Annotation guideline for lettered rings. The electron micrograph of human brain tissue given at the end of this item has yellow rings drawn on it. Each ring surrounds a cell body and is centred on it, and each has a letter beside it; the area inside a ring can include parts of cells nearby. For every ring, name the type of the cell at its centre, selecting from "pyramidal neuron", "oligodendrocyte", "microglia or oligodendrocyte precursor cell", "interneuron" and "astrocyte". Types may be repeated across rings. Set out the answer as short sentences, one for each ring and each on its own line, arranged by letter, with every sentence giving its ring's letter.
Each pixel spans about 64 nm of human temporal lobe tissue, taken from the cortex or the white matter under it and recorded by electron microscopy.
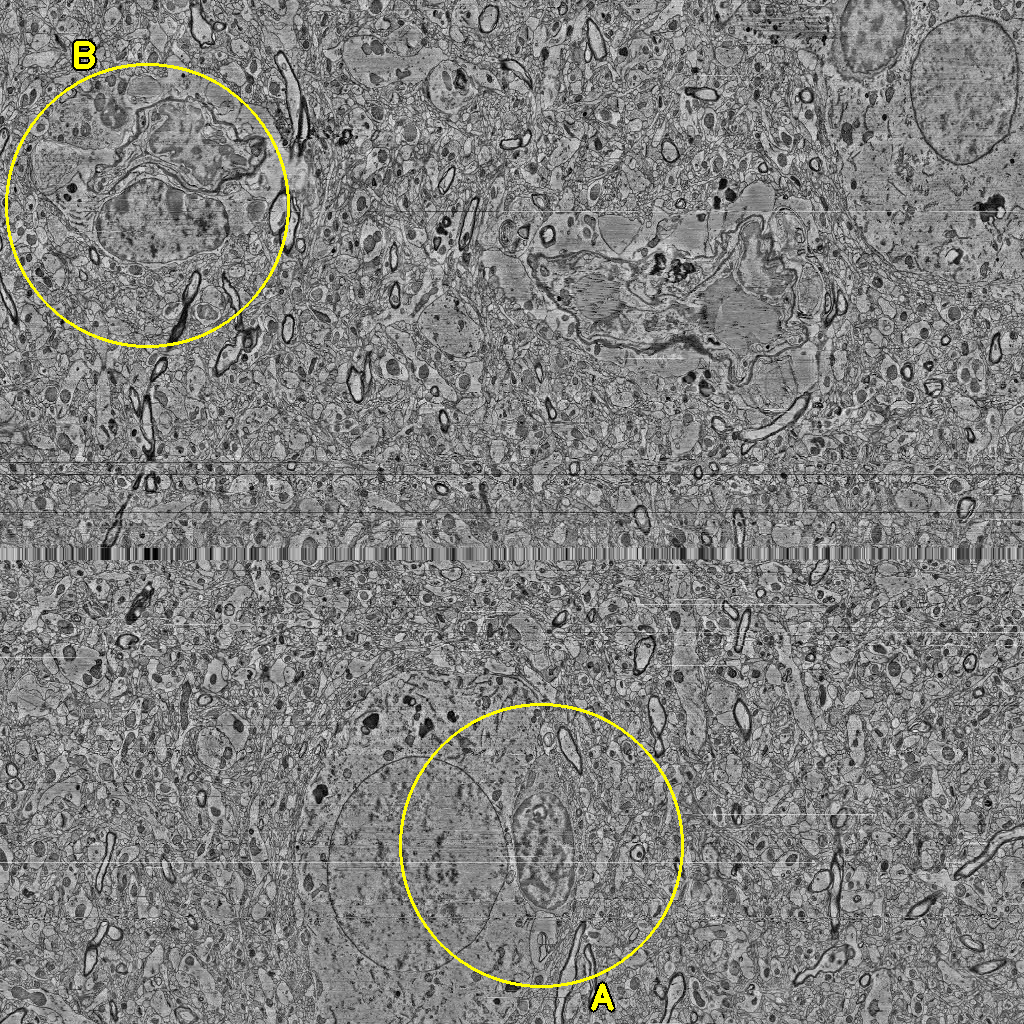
The cell centred in ring A is an oligodendrocyte.
The cell centred in ring B is a microglial cell or oligodendrocyte precursor cell.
